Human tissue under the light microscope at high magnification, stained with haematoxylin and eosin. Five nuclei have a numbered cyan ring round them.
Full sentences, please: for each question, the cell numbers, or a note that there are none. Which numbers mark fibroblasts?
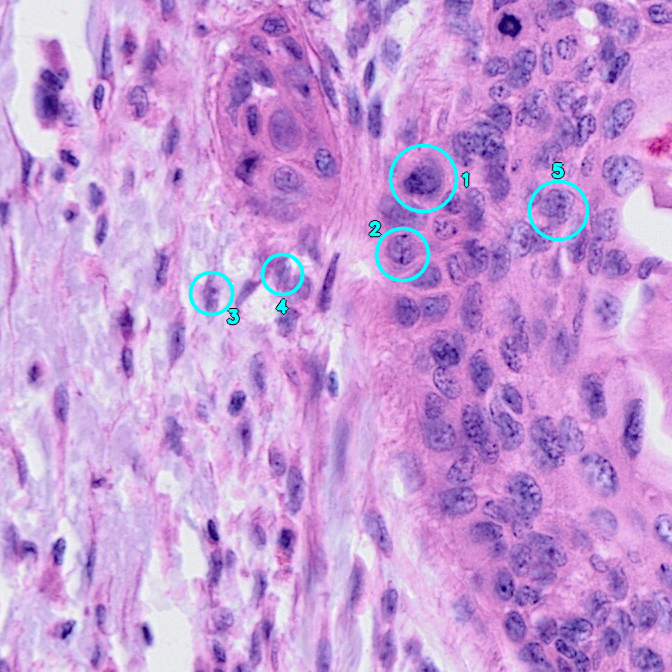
Within the section, cells numbered 3 and 4 are fibroblasts.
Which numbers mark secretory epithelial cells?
There are no secretory epithelial cells among the cells marked with numbers.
